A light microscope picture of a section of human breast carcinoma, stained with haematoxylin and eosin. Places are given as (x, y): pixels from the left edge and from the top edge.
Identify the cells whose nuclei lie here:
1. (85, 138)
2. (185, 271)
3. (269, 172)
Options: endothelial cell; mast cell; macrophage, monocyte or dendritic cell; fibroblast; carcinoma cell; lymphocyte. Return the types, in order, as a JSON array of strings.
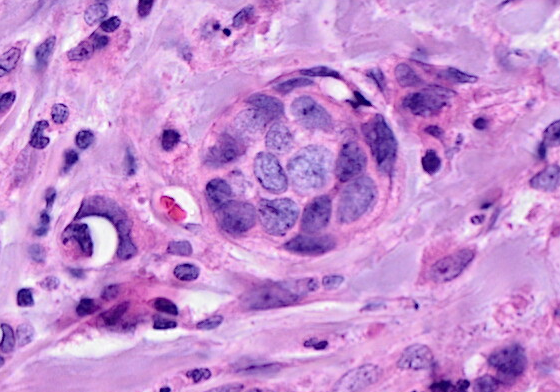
["lymphocyte", "mast cell", "carcinoma cell"]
